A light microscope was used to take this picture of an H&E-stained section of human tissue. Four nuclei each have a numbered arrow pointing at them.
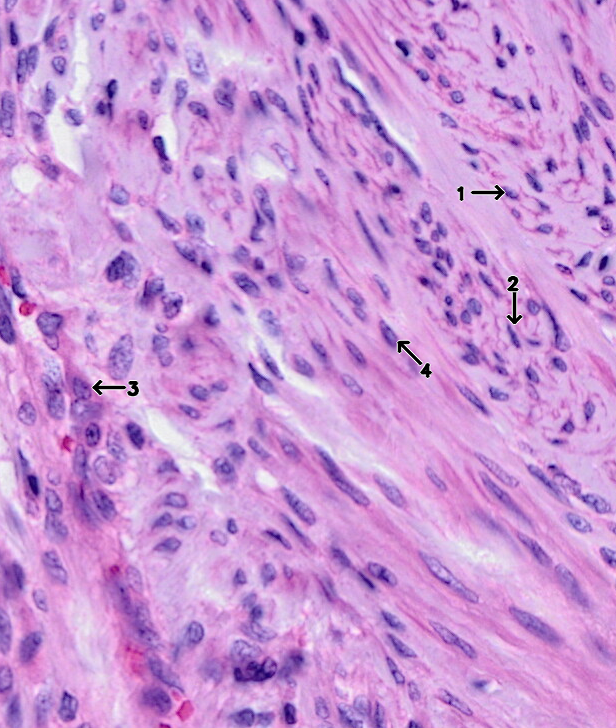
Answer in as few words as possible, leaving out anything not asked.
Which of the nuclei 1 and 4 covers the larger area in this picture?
4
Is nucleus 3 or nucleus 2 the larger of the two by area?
3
